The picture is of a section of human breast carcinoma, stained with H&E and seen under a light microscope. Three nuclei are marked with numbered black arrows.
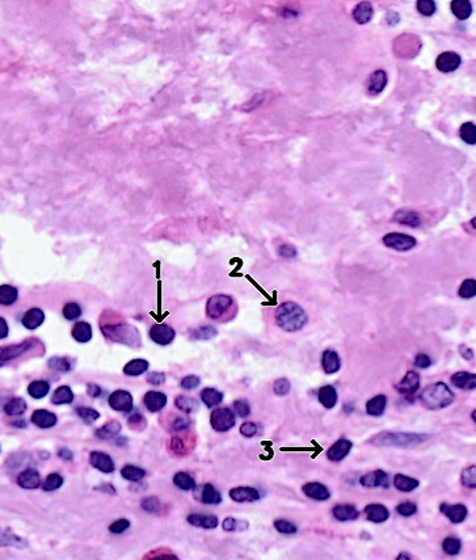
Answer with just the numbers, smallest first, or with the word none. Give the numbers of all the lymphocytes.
1, 3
